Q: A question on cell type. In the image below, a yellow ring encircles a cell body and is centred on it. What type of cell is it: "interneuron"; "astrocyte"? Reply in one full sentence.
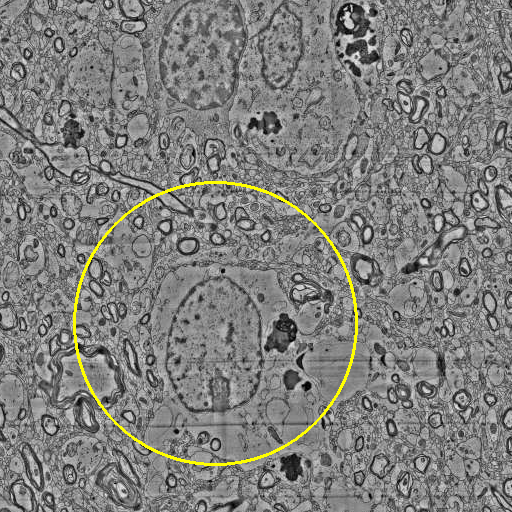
It is an astrocyte whose cell body sits at the centre of the yellow ring in the image.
